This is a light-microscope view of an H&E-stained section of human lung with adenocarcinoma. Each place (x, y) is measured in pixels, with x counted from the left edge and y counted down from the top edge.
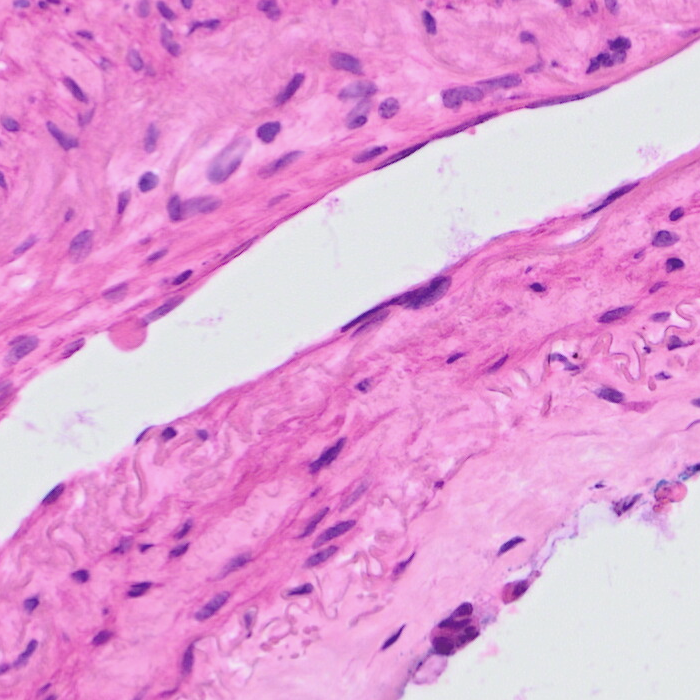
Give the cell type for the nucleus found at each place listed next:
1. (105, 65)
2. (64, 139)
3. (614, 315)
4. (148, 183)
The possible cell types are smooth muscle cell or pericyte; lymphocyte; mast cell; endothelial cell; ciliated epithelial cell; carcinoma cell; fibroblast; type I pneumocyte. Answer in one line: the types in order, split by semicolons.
smooth muscle cell or pericyte; smooth muscle cell or pericyte; smooth muscle cell or pericyte; lymphocyte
